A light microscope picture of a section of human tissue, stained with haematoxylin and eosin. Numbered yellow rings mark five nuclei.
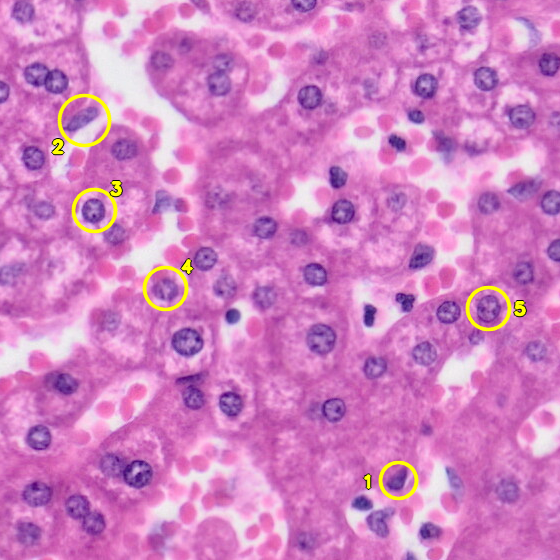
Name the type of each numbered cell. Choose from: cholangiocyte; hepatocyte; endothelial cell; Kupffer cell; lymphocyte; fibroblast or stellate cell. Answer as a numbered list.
1. fibroblast or stellate cell
2. Kupffer cell
3. hepatocyte
4. hepatocyte
5. hepatocyte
